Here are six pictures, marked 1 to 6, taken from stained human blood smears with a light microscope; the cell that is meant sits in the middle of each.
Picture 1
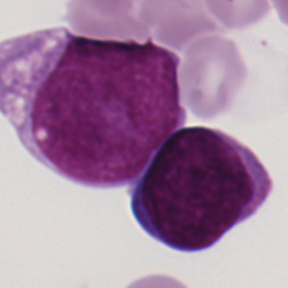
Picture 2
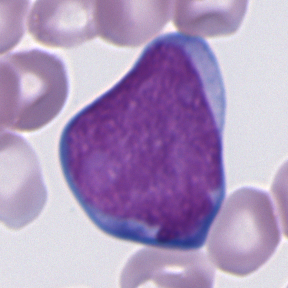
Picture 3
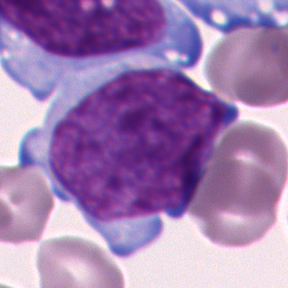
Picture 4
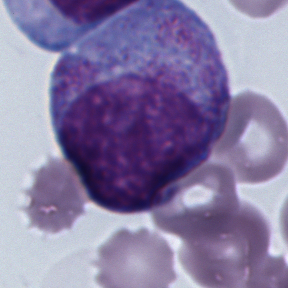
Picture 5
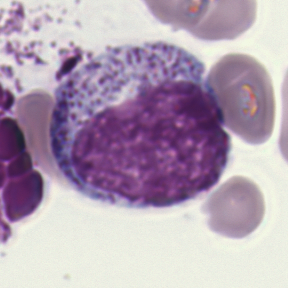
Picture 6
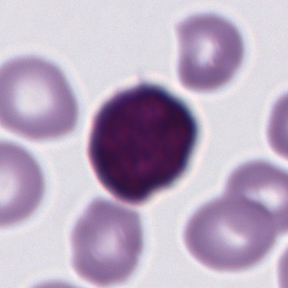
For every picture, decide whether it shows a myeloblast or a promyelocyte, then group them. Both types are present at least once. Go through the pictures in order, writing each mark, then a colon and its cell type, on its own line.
1: myeloblast
2: myeloblast
3: myeloblast
4: promyelocyte
5: promyelocyte
6: myeloblast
